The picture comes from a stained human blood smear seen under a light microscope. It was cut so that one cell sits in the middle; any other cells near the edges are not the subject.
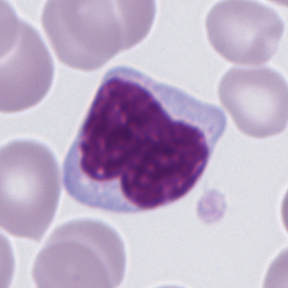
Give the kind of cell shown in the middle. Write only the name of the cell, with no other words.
large granular lymphocyte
